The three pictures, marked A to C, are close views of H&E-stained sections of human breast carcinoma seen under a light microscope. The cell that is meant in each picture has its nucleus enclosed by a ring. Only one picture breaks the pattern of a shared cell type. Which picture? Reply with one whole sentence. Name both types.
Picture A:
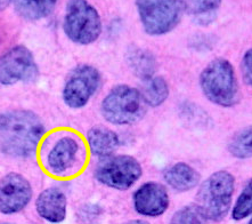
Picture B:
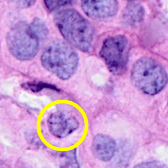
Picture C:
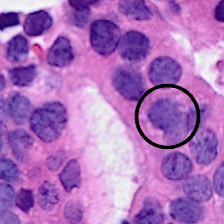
The others show carcinoma cells, but picture B shows a “macrophage, monocyte or dendritic cell”.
